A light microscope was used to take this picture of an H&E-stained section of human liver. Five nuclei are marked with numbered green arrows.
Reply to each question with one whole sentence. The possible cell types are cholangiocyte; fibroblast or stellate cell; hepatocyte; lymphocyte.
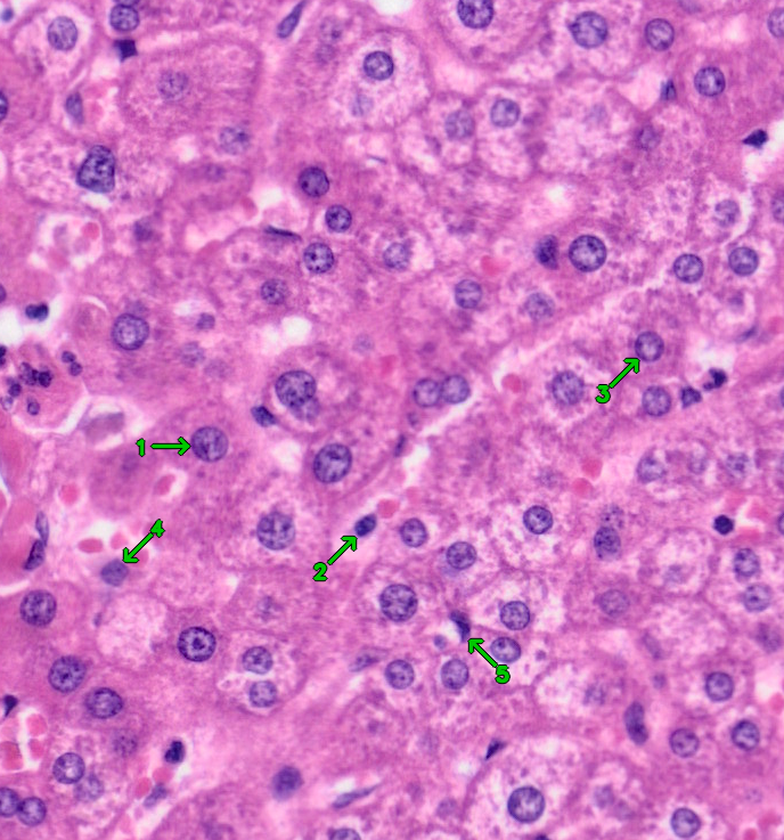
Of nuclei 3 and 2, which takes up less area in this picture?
It is nucleus 2; nucleus 3 has about 1.5 times its area.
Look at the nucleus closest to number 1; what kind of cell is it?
The nucleus nearest to number 1 is that of a fibroblast or stellate cell.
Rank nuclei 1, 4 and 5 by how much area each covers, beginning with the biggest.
Going from the biggest nucleus down to the smallest gives 1, 4, 5.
